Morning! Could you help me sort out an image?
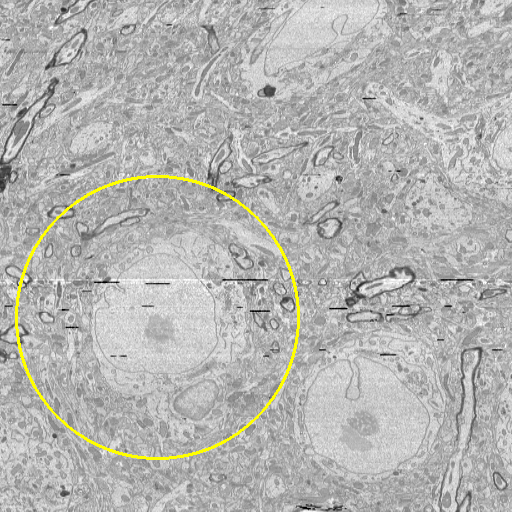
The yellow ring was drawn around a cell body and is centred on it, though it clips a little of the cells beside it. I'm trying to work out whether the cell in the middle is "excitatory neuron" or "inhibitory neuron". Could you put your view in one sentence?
The ringed cell body is that of an excitatory neuron.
